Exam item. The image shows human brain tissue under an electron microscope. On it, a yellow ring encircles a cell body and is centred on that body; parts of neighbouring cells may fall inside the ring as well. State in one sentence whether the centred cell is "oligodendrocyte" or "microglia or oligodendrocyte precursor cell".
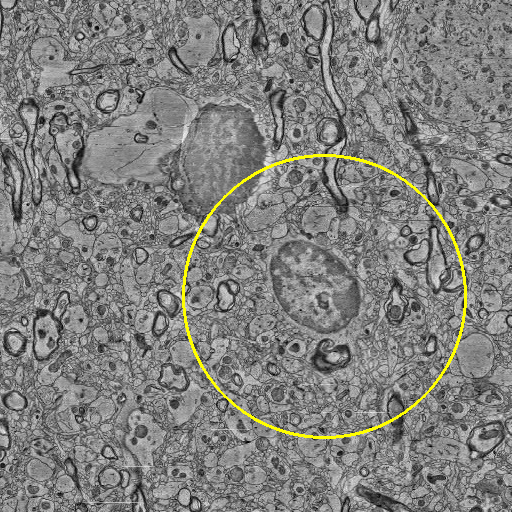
The cell body centred in the ring is an oligodendrocyte.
